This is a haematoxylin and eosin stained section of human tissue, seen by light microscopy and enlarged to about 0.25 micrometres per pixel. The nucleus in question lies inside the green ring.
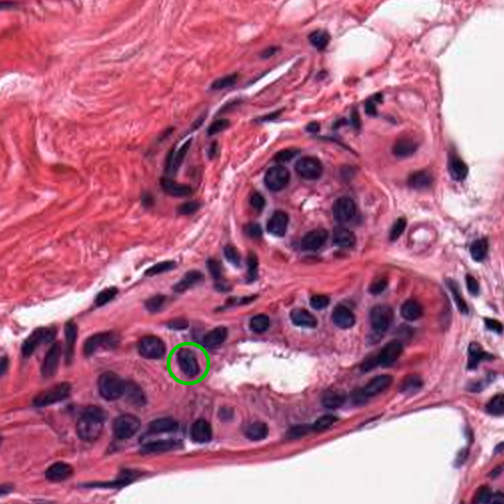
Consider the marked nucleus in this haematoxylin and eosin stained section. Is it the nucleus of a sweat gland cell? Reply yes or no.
yes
